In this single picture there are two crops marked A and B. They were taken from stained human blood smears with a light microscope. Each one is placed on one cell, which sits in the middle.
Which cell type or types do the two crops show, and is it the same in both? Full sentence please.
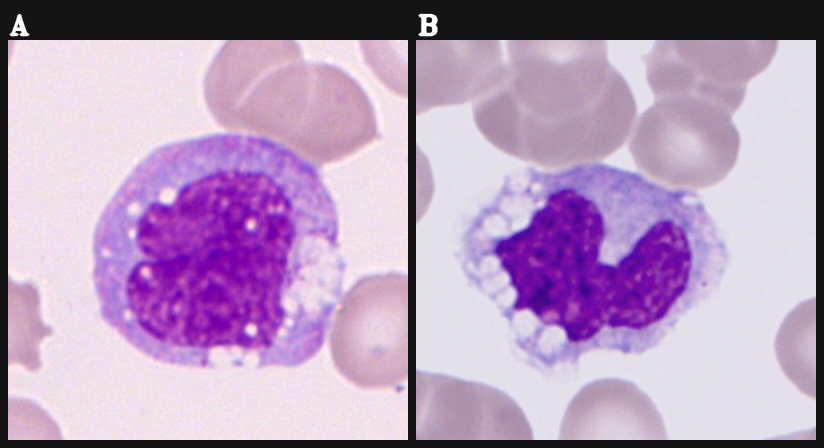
Yes, both crops in the pair show monocytes.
